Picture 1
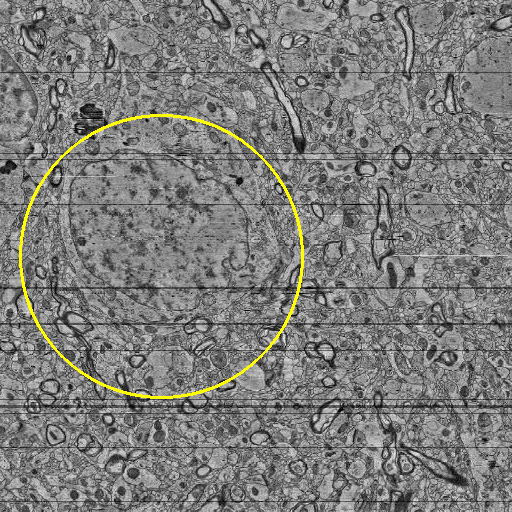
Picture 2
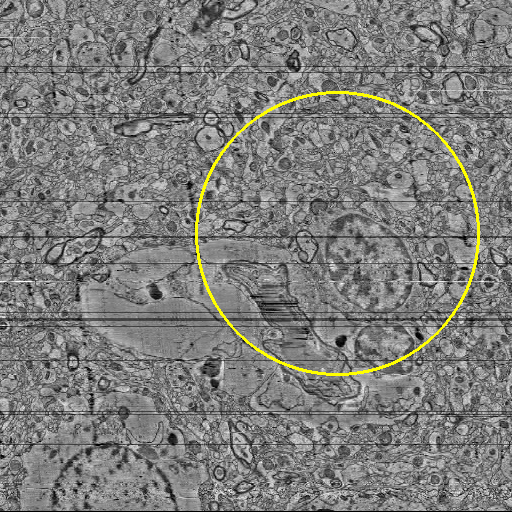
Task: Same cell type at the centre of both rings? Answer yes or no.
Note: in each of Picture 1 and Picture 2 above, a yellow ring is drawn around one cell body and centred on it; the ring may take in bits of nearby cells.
no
